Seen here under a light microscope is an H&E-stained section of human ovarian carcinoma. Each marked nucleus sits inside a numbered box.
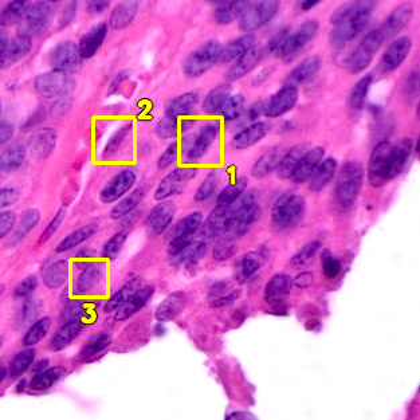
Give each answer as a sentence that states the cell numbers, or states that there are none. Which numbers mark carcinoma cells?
Here, the cells that carry numbers 1 and 3 are carcinoma cells.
